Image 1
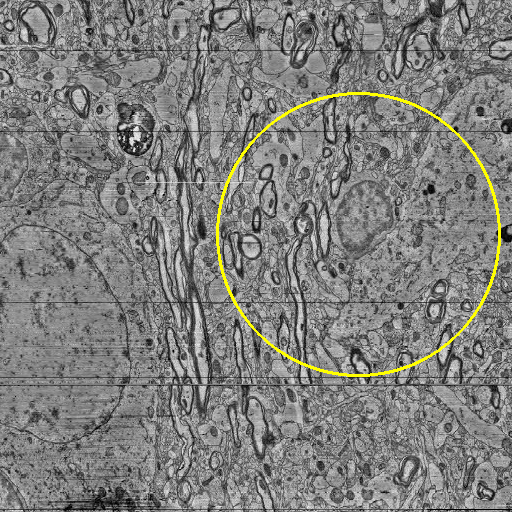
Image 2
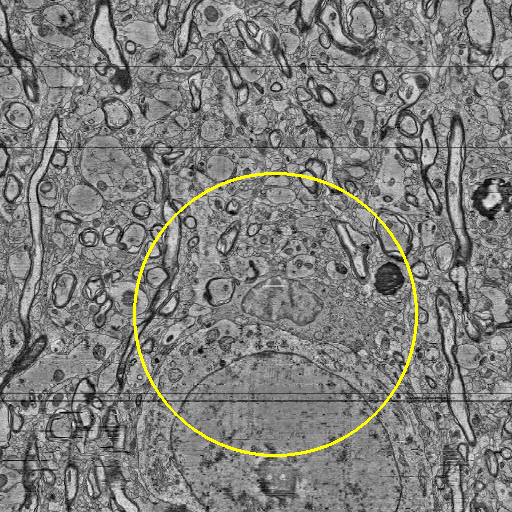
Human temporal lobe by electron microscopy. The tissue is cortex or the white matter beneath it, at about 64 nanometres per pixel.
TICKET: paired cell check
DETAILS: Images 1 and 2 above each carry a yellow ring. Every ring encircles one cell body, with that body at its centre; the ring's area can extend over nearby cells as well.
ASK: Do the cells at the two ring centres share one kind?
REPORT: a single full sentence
Yes, the ring-centre cells of Images 1 and 2 belong to a single kind.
